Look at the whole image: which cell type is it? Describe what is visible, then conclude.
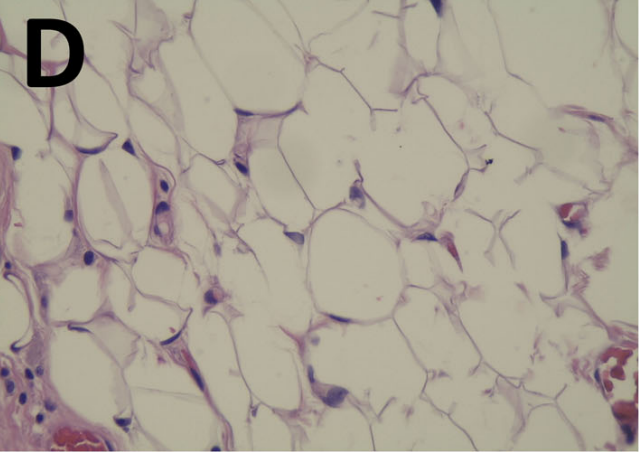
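Large polygonal clear cells with a single empty vacuole each. Thin pink cell membranes outline each cell. Small flattened dark nuclei pressed to the cell edge.
Mature univacuolated adipocytes.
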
